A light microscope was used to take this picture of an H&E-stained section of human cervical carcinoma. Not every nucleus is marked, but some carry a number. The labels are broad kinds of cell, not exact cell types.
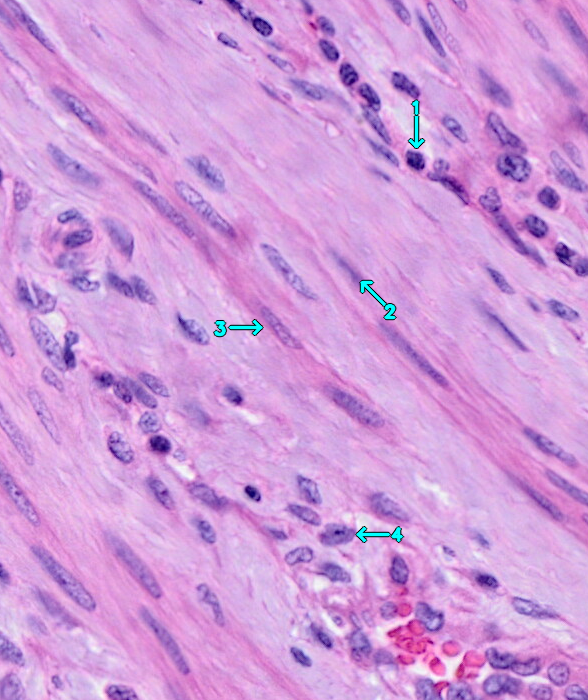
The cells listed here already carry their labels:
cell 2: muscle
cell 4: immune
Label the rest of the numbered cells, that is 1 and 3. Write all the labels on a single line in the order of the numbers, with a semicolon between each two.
immune; muscle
